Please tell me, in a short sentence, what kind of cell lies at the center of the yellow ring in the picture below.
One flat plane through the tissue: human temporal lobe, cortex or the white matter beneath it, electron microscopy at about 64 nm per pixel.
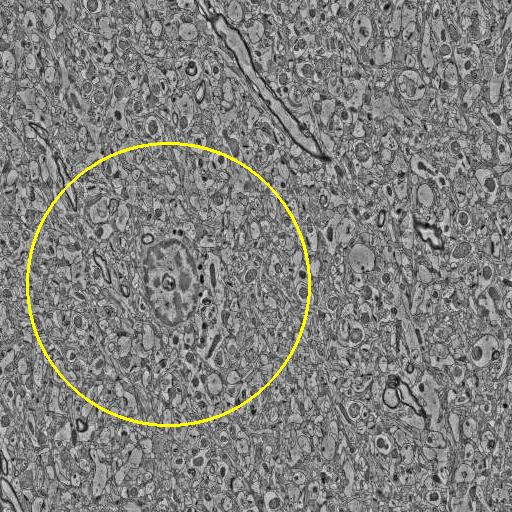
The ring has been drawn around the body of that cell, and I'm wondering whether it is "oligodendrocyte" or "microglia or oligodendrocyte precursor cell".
The cell at the center of the ring is an oligodendrocyte.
